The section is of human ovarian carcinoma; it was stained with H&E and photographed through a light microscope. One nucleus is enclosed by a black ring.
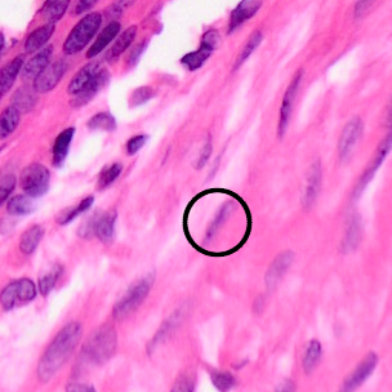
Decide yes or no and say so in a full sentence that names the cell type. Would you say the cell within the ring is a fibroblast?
Yes, it is a fibroblast that the cell within the ring is.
